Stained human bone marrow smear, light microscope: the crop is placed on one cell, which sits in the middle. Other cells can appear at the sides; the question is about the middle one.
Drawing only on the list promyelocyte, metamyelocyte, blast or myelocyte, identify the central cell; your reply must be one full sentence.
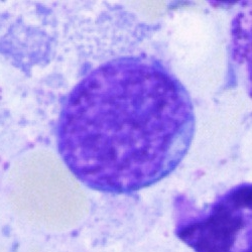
The cell marked by its central position in the crop is a blast.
